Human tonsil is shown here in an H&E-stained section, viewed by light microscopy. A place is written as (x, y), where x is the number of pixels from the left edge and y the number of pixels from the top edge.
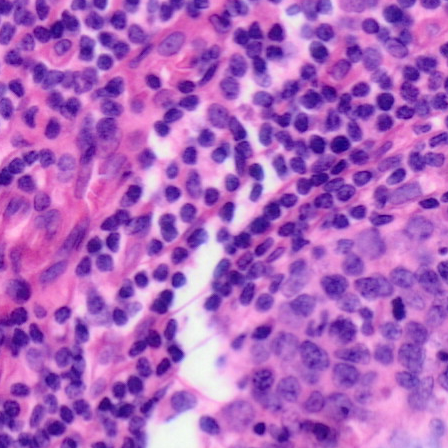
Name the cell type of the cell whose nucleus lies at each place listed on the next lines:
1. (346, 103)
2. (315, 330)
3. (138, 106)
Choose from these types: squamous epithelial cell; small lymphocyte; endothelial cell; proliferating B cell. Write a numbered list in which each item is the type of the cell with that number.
1. small lymphocyte
2. proliferating B cell
3. endothelial cell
